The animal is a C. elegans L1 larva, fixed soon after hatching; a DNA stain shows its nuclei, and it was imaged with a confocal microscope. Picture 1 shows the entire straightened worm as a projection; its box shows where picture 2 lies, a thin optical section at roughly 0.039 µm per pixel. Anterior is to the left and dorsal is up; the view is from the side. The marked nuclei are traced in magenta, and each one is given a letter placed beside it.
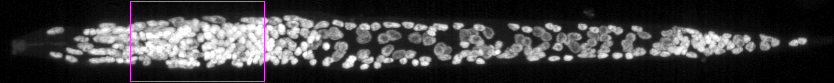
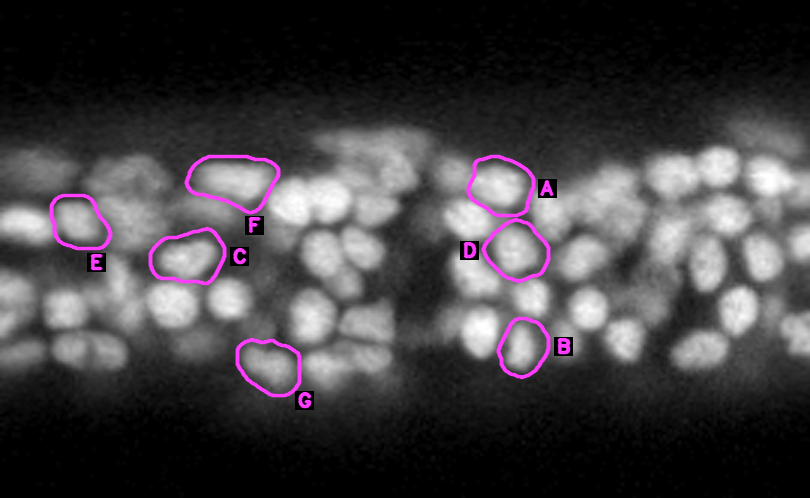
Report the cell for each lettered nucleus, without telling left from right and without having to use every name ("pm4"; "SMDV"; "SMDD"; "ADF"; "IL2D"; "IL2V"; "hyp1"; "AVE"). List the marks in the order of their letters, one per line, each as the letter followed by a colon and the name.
A: SMDV
B: SMDD
C: pm4
D: AVE
E: hyp1
F: IL2D
G: IL2V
